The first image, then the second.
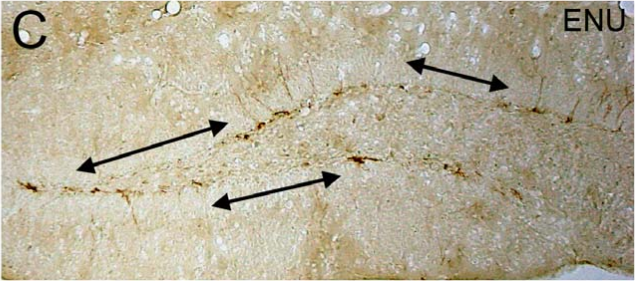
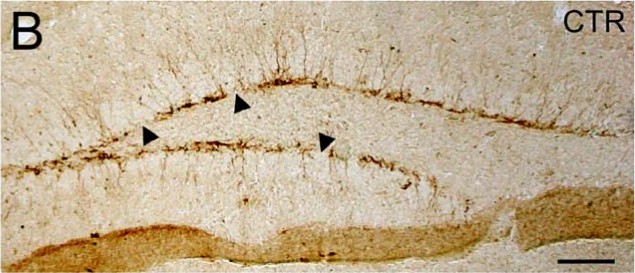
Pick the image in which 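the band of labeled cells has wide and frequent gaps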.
the first image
